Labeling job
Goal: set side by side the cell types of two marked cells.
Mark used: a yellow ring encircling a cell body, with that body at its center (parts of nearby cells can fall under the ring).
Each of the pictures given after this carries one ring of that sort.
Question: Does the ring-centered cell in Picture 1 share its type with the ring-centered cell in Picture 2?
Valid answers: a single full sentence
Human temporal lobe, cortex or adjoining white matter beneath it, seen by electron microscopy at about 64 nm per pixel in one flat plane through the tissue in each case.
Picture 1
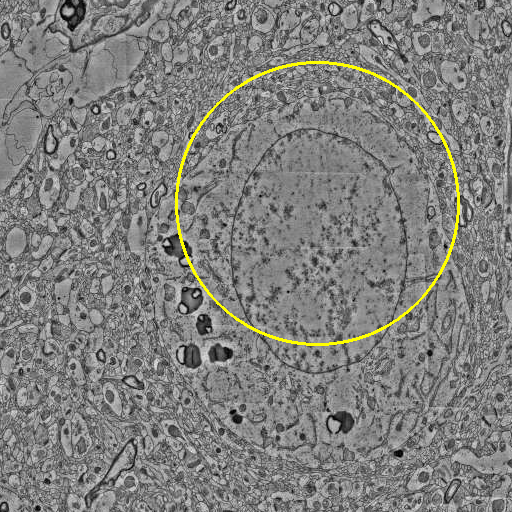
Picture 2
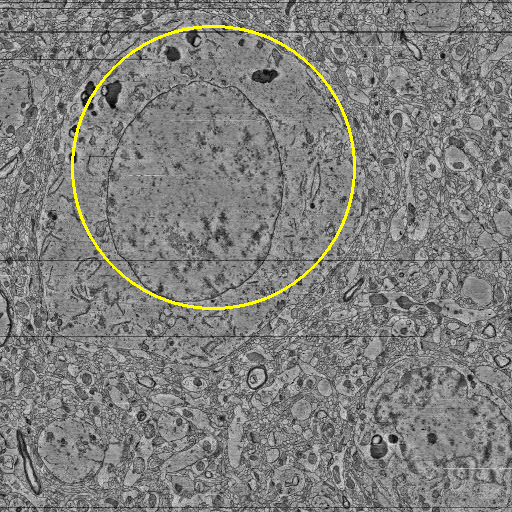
Yes, in Pictures 1 and 2 the cells at the ring centers share one type.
